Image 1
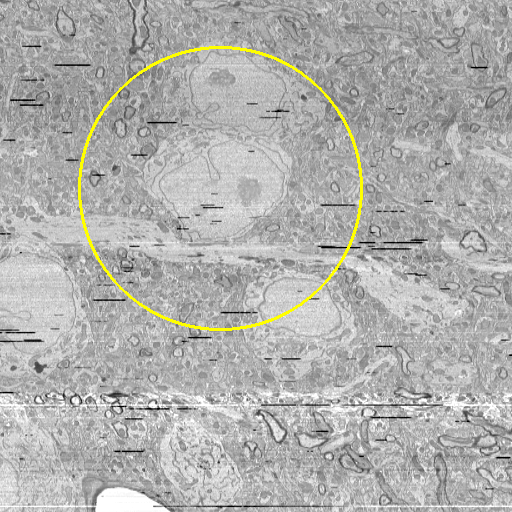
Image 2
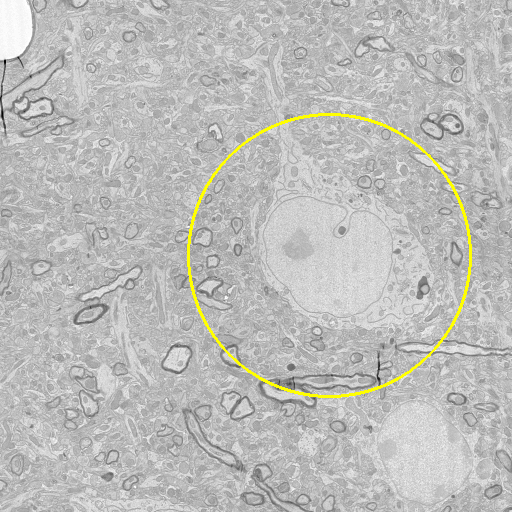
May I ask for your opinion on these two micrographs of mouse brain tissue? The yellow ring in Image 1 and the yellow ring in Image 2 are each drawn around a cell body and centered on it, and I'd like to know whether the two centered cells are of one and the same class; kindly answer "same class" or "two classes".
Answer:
same class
